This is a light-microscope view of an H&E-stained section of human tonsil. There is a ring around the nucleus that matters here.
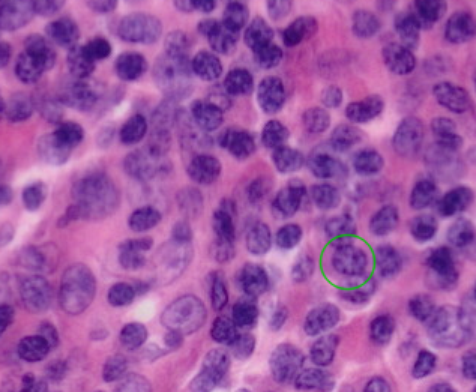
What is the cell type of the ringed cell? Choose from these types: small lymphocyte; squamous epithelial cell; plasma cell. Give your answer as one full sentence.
Cell type answer for this item: the ringed cell is a plasma cell.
